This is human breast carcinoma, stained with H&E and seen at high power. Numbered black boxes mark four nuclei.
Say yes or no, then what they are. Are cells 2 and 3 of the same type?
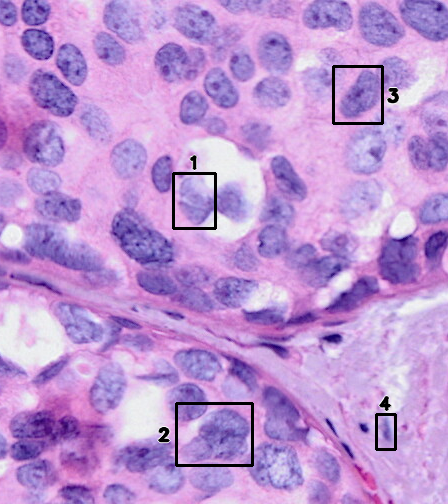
Yes, among the marked cells, numbers 2 and 3 are both carcinoma cells.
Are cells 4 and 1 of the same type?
No, cell 4 is a fibroblast; cell 1 is a carcinoma cell.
